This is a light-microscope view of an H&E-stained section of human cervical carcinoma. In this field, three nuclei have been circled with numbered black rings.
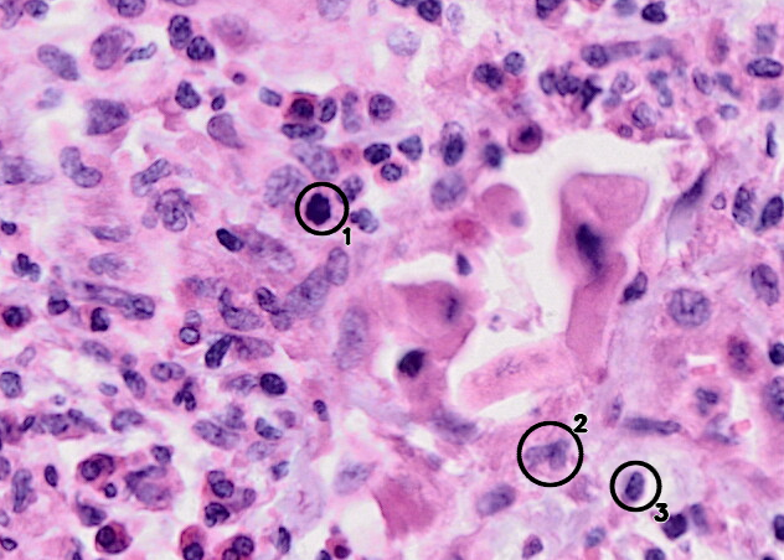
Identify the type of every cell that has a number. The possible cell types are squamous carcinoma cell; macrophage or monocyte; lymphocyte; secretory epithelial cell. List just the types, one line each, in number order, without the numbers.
lymphocyte
macrophage or monocyte
lymphocyte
